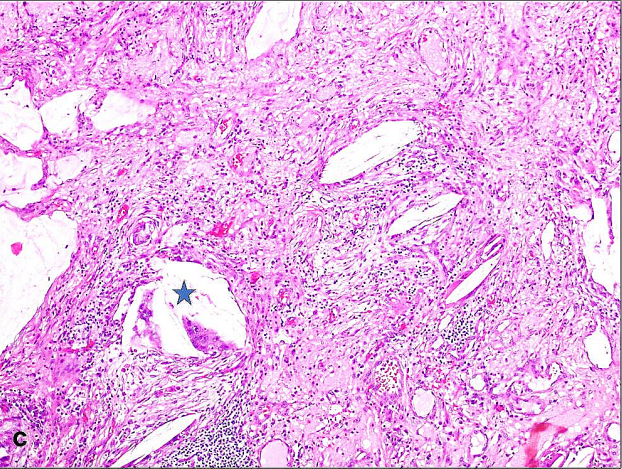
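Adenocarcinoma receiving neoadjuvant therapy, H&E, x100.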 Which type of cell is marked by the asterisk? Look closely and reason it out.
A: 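The asterisk sits in an empty cleft with a large multinucleated cell at its edge. Several similar needle-shaped empty clefts lie in the surrounding stroma. On this evidence: foreign body-style giant cells.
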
